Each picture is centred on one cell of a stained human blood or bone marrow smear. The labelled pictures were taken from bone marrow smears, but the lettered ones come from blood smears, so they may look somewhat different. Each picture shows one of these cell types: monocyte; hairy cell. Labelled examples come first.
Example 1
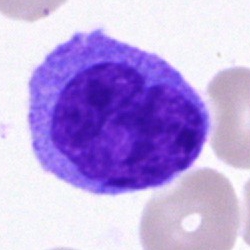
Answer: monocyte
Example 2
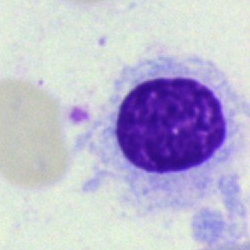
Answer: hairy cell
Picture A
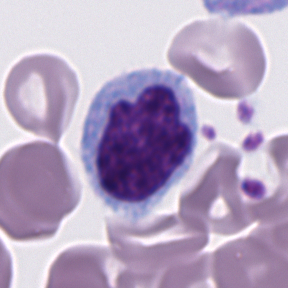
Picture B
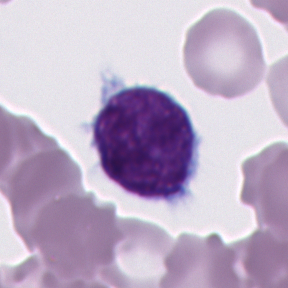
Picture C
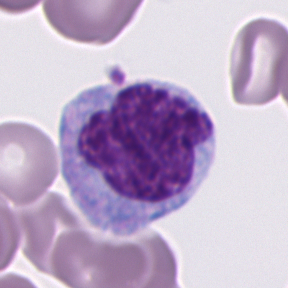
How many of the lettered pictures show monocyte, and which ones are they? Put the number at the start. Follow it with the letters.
2, namely A, C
